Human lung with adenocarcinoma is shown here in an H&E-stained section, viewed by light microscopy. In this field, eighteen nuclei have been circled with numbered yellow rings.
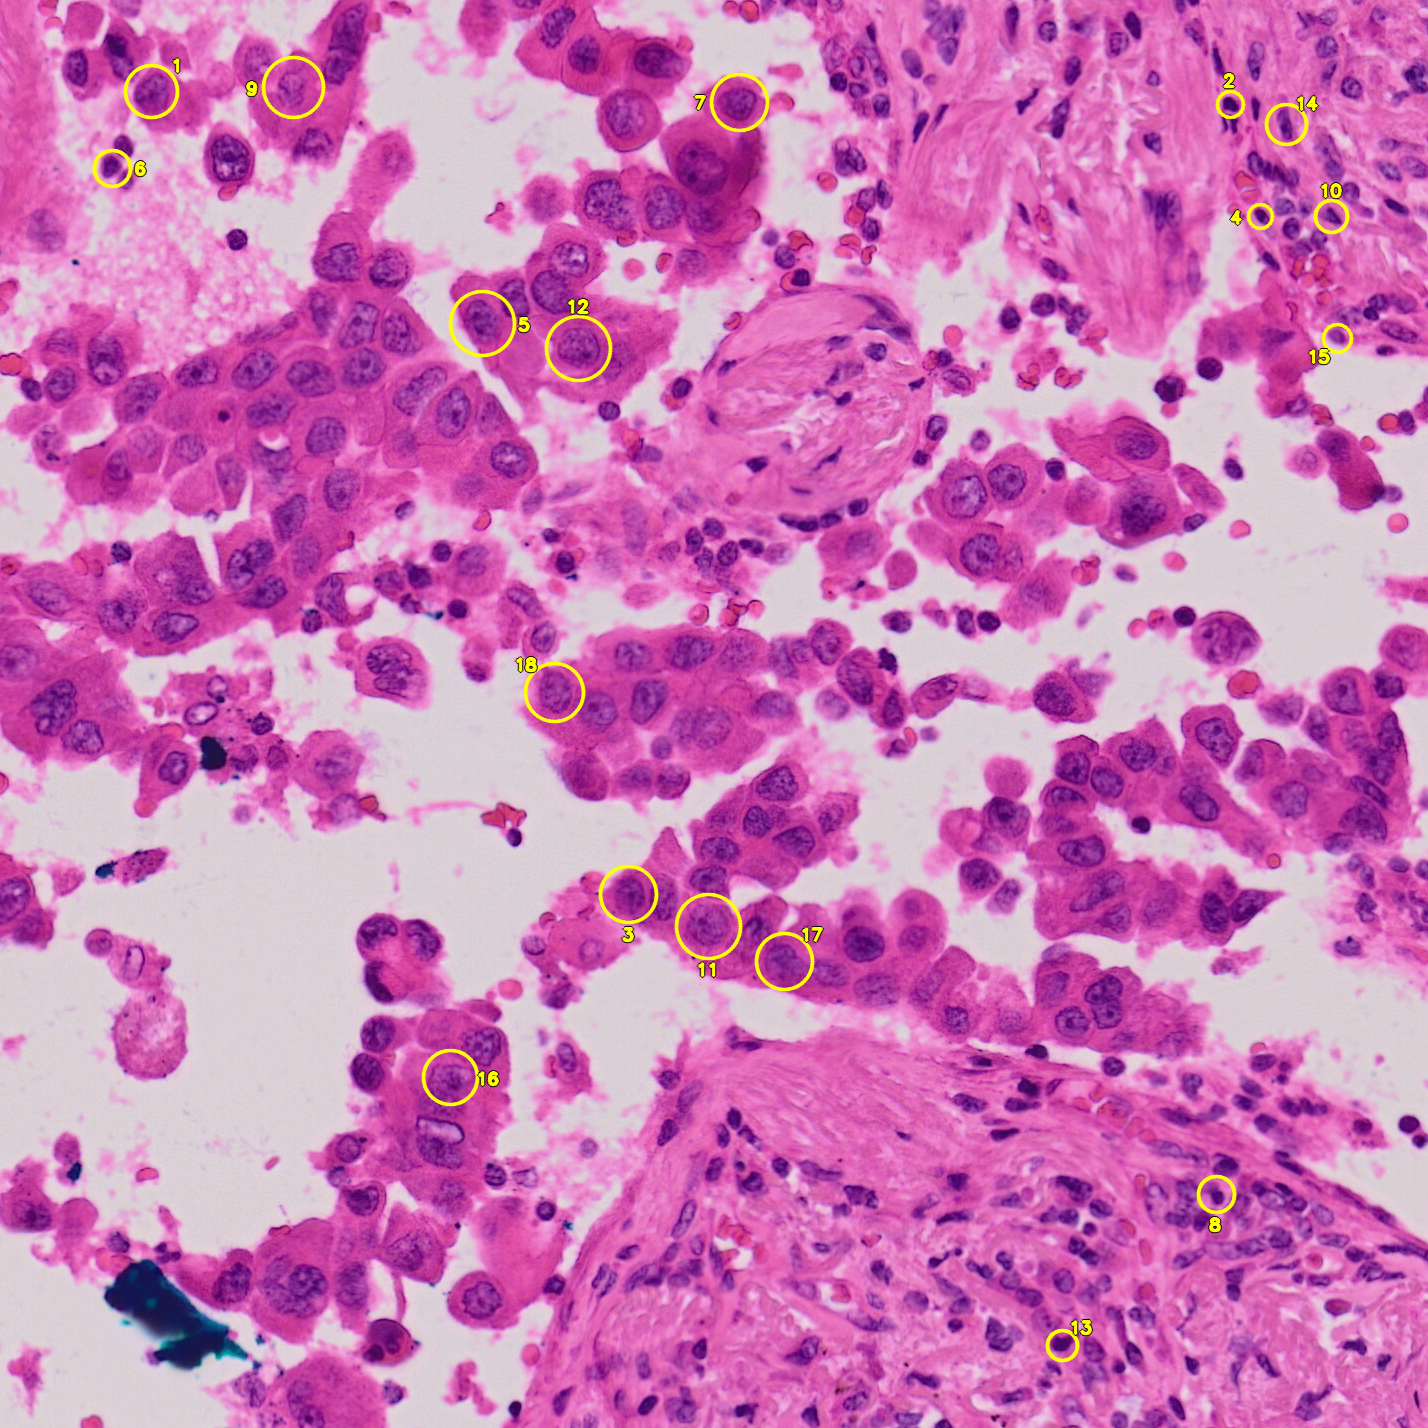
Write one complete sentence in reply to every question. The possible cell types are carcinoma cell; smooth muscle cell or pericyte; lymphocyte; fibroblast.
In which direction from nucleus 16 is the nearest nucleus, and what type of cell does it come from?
Lying below nucleus 16, the nearest nucleus is that of a carcinoma cell.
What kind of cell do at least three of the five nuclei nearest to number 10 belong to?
Lymphocytes account for more than half of the five nuclei nearest to number 10.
